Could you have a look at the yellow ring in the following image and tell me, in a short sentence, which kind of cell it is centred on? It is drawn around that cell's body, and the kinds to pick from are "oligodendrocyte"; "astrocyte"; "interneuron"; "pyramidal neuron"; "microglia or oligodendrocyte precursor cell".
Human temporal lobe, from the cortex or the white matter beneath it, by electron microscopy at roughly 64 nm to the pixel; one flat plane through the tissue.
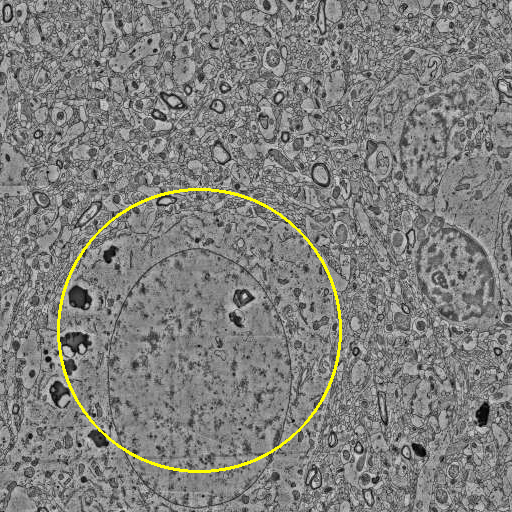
The ring is centred on the body of a pyramidal neuron.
